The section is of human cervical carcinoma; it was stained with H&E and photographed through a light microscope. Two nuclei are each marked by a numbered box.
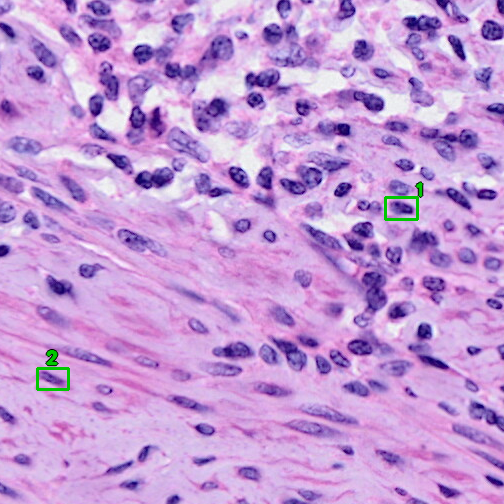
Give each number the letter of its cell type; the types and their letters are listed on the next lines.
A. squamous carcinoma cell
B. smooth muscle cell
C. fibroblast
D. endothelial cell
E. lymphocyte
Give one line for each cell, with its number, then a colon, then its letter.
1: E
2: B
